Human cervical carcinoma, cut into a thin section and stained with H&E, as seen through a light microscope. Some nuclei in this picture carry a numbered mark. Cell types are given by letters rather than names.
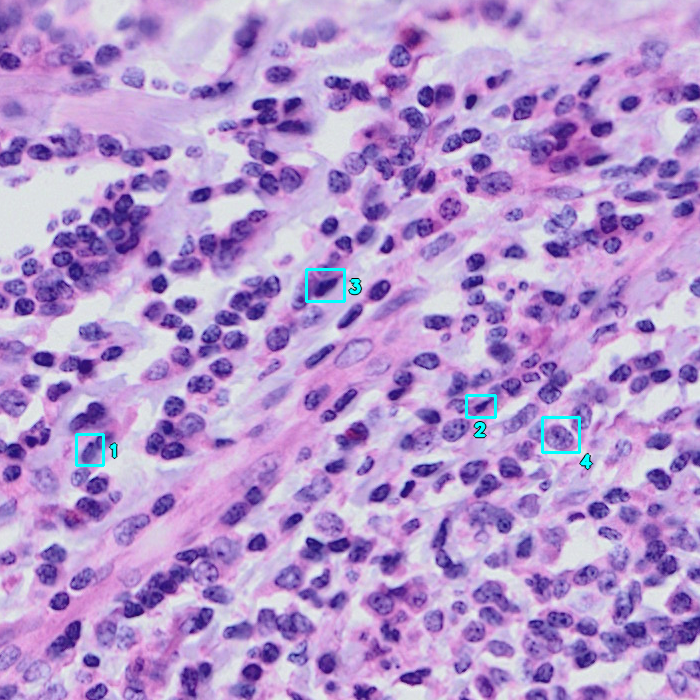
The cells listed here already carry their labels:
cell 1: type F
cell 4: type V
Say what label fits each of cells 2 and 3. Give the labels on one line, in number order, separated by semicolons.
type F; type F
